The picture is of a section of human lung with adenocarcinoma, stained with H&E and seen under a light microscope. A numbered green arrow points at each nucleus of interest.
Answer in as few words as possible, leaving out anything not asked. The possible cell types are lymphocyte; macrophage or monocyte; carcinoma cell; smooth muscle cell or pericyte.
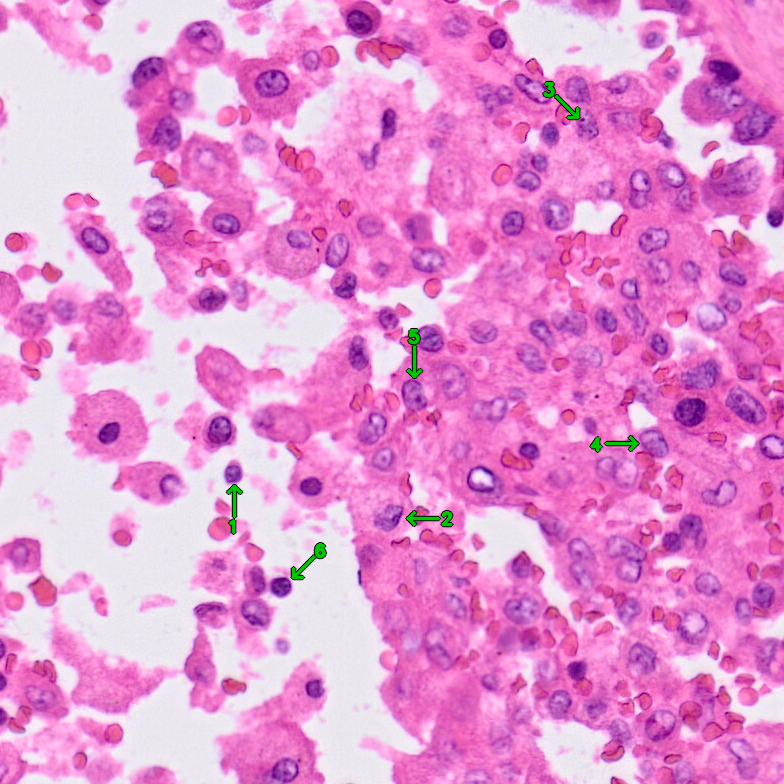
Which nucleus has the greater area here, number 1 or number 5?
5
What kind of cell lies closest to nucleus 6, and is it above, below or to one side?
a macrophage or monocyte to the left of nucleus 6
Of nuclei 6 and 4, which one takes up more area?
4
